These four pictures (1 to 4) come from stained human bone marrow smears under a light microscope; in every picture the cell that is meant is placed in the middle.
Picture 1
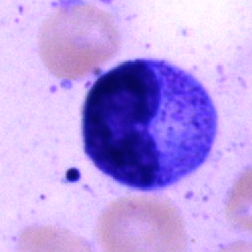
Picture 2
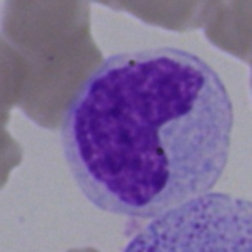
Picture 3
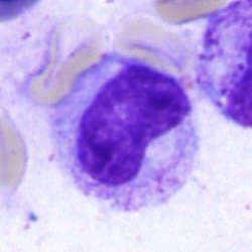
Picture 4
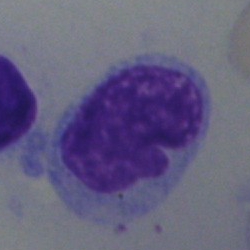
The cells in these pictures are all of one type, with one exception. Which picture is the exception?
4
